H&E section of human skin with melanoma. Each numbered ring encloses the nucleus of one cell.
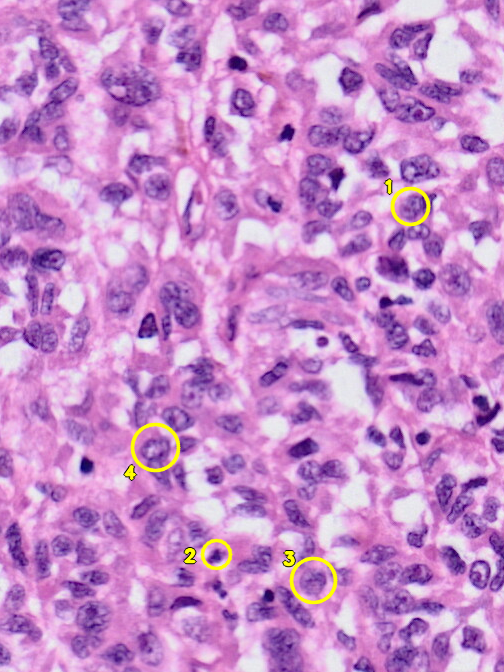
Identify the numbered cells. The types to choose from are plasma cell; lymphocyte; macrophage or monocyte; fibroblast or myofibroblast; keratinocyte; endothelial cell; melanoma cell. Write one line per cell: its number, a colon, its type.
1: melanoma cell
2: lymphocyte
3: melanoma cell
4: melanoma cell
